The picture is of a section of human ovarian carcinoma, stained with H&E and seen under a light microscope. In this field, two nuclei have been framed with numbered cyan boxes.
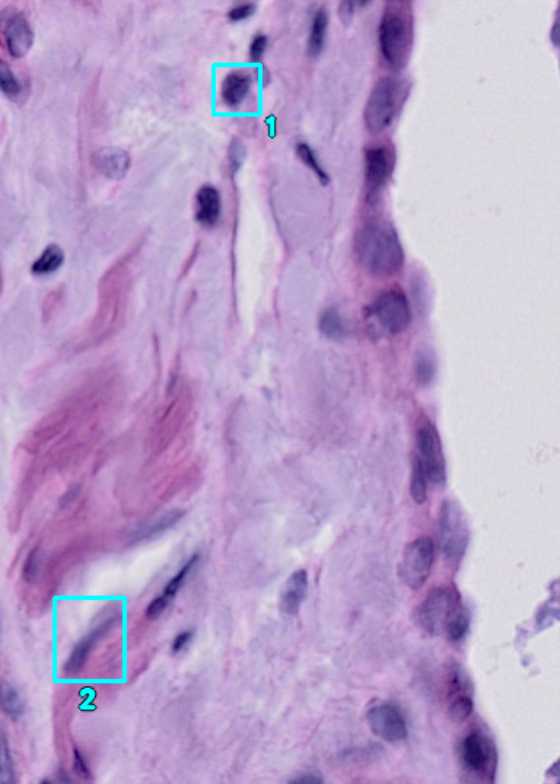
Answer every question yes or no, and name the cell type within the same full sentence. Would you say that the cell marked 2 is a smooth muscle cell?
Yes, the cell with its nucleus marked 2 is a smooth muscle cell.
